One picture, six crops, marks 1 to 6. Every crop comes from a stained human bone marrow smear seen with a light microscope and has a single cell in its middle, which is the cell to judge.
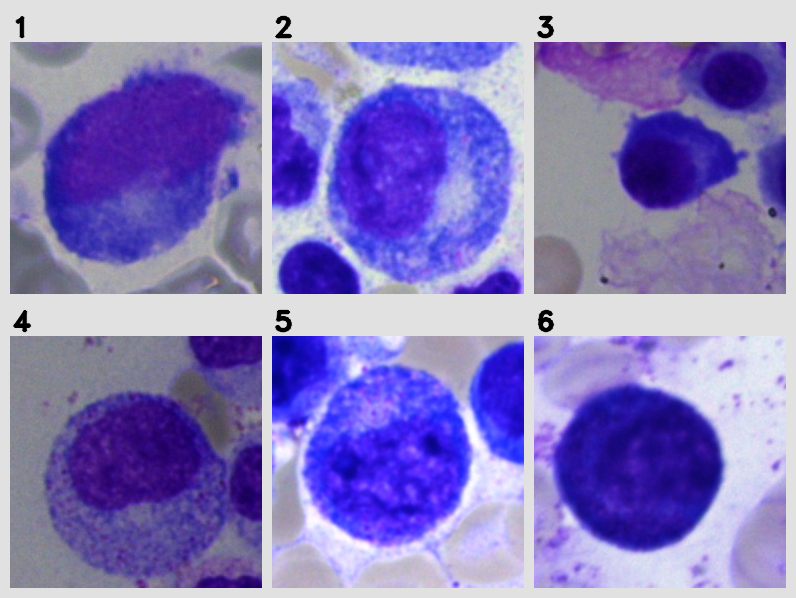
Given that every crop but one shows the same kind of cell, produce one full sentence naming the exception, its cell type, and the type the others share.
The exception is crop 3, with a plasma cell; the remaining crops all show promyelocytes.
